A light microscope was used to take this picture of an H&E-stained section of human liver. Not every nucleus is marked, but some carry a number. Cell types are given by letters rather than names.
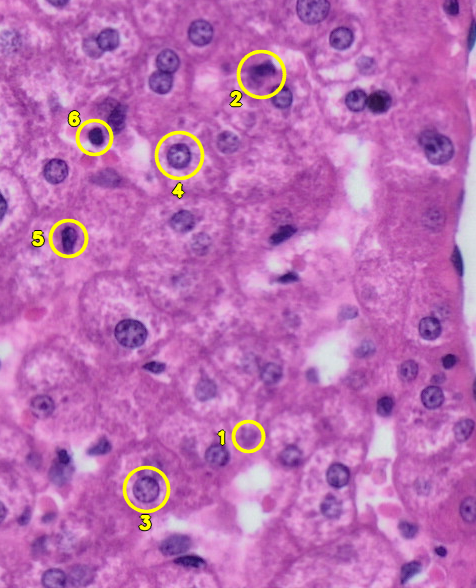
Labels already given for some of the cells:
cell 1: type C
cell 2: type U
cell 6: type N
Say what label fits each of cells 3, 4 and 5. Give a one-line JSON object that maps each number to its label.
{"3": "type C", "4": "type C", "5": "type U"}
